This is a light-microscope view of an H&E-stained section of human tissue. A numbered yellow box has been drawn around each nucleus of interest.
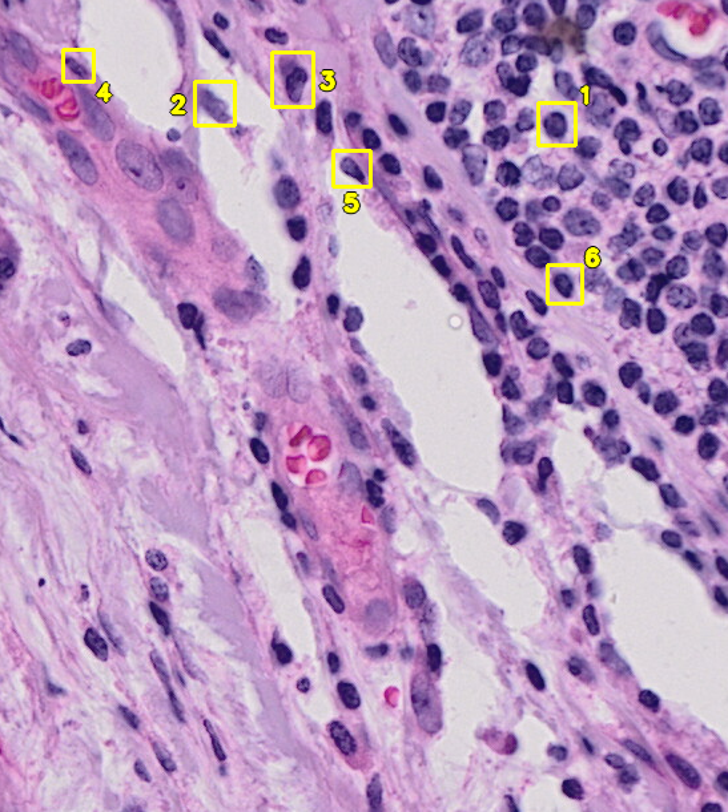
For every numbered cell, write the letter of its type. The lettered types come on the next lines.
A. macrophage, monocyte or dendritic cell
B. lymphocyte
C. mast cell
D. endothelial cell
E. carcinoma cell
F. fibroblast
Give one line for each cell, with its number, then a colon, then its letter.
1: B
2: F
3: B
4: D
5: B
6: B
